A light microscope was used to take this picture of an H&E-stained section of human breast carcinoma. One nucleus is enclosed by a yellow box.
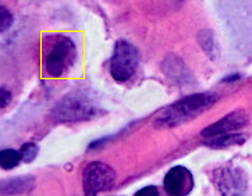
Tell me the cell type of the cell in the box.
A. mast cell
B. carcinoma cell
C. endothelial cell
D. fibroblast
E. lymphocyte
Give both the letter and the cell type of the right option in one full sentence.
According to option A, the cell in the box is a mast cell, and this is correct.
